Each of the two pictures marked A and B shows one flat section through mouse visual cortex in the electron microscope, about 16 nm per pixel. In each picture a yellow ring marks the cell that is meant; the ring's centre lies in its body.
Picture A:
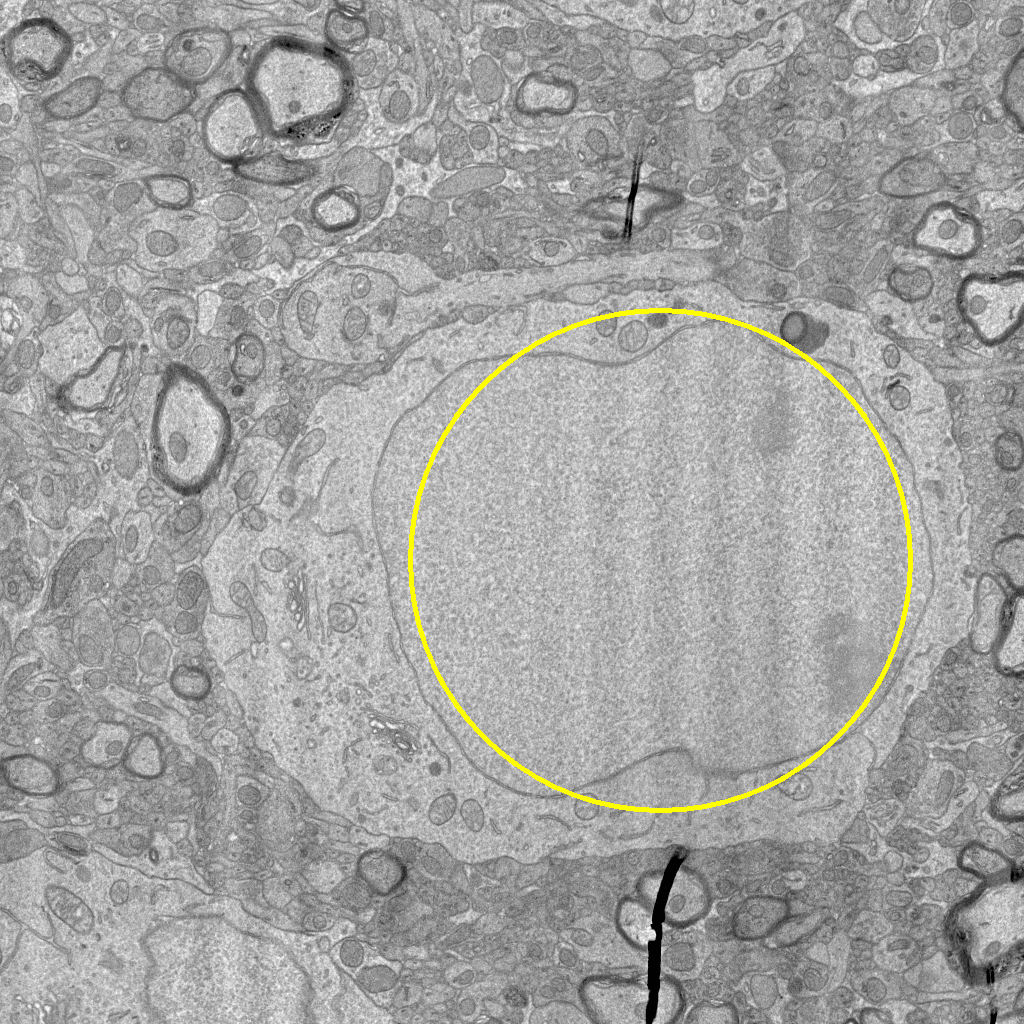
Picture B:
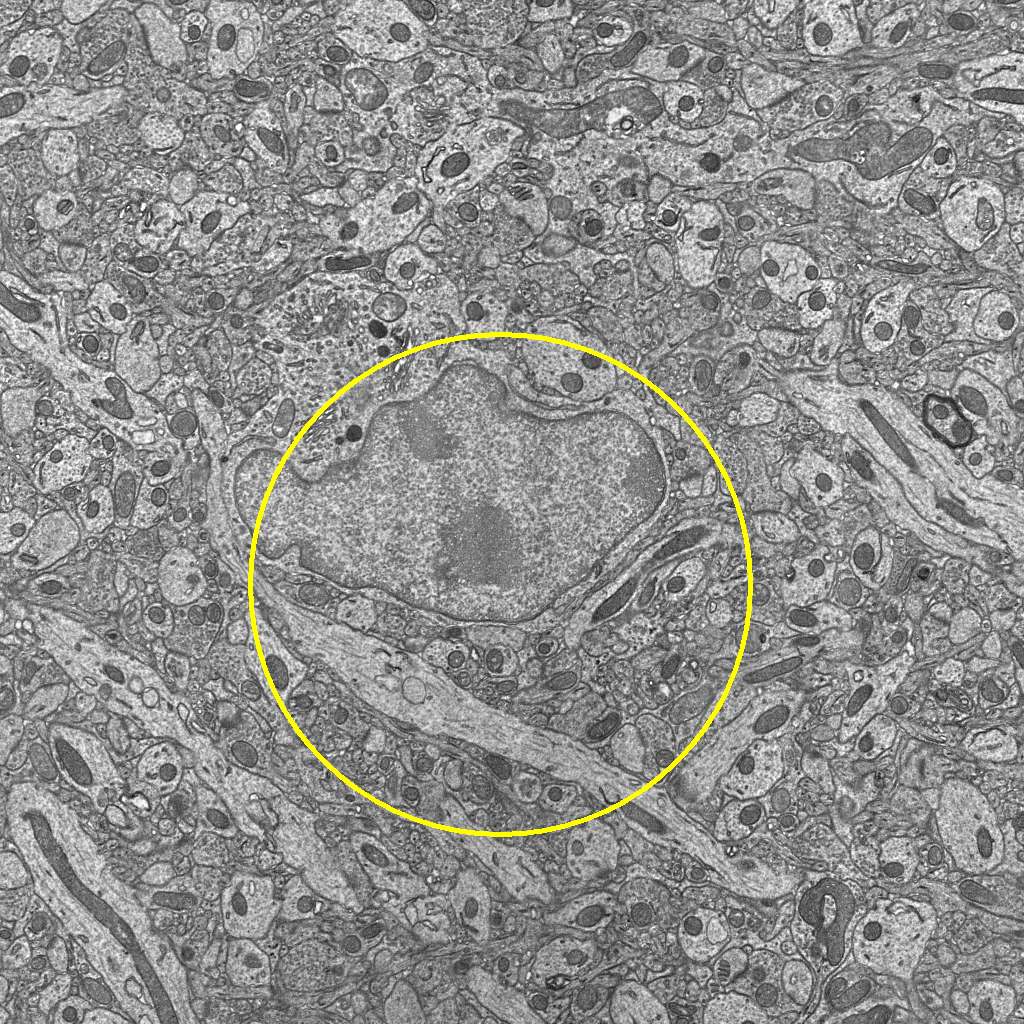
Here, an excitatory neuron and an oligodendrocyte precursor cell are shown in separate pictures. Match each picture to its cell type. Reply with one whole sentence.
Picture A shows an excitatory neuron and picture B shows an oligodendrocyte precursor cell.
